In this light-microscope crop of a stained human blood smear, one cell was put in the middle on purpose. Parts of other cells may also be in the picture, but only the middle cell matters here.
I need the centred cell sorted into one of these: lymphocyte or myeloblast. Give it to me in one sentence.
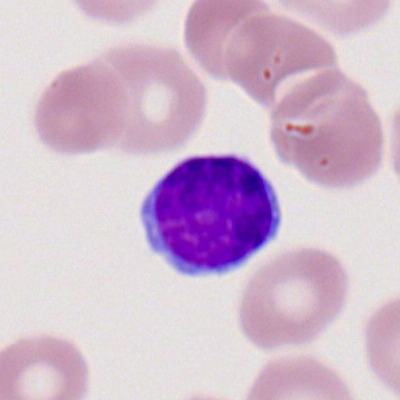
Looking at the middle of the crop, the cell there is a lymphocyte.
